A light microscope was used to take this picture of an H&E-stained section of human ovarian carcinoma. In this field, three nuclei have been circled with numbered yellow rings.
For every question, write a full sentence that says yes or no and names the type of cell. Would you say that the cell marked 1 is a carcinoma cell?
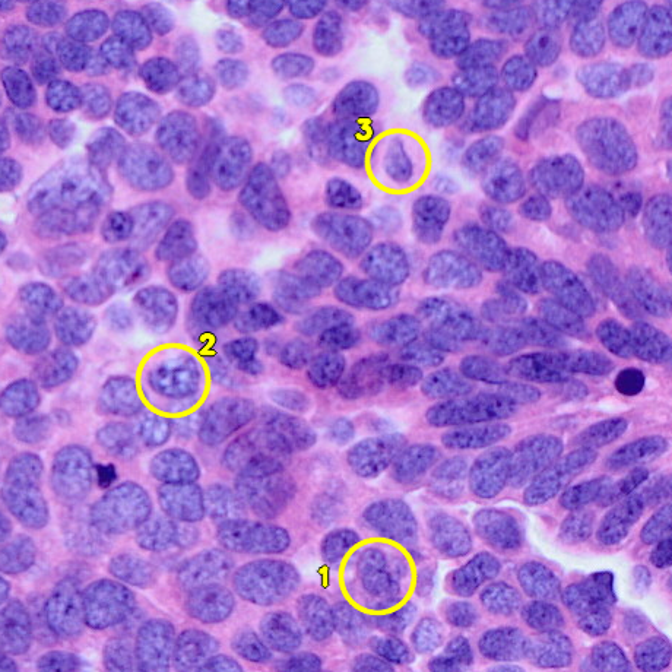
Yes, that is right: the cell labelled 1 is a carcinoma cell.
